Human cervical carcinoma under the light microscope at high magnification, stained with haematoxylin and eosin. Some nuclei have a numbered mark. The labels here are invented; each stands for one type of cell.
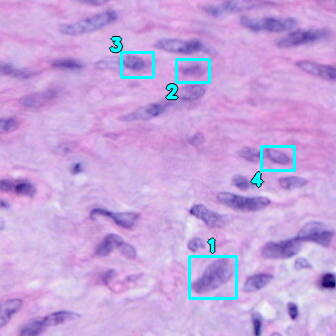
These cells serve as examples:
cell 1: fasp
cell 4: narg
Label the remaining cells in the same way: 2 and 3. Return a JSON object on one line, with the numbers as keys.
{"2": "narg", "3": "narg"}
